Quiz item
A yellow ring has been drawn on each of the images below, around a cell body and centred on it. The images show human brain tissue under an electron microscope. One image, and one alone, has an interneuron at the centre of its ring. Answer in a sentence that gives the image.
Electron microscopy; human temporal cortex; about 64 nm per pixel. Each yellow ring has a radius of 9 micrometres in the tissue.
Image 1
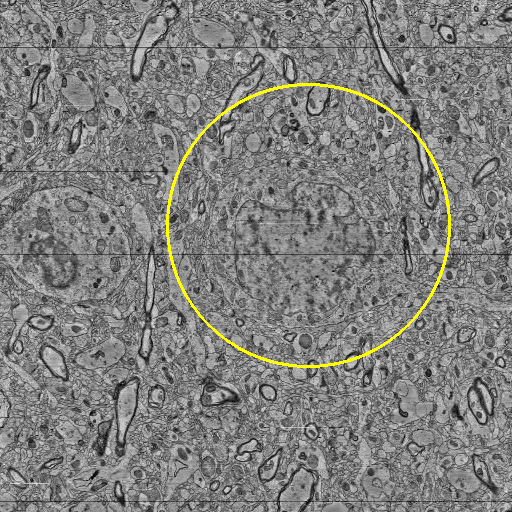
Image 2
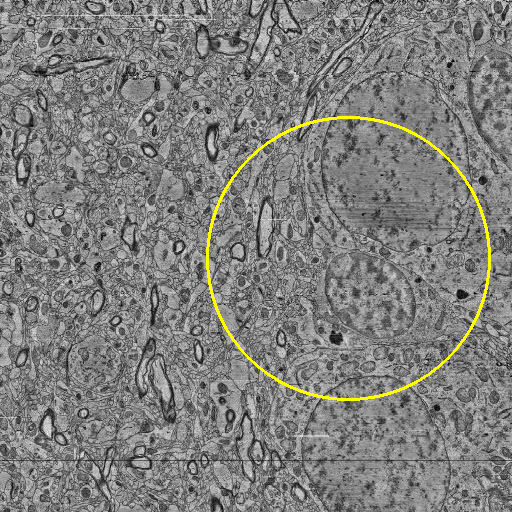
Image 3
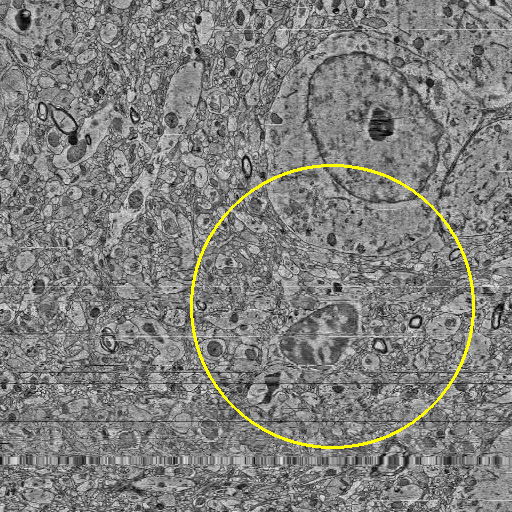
Image 1 shows it at the centre of the ring.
